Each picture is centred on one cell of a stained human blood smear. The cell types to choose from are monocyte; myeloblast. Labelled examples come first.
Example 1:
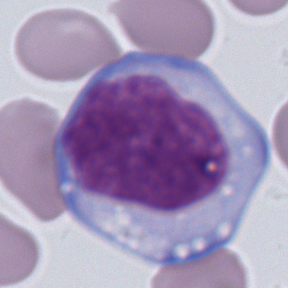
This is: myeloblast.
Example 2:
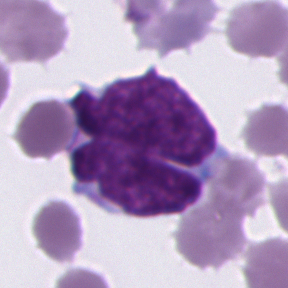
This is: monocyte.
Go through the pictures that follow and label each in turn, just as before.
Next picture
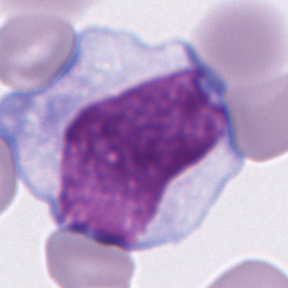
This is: monocyte.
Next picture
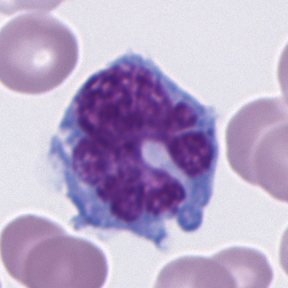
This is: monocyte.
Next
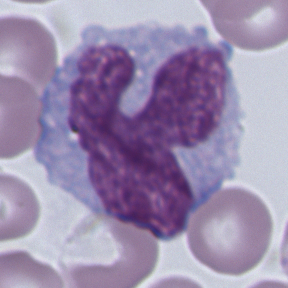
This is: monocyte.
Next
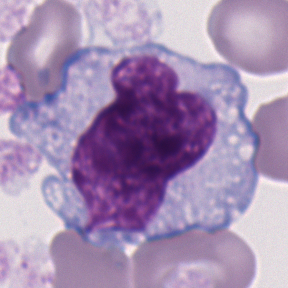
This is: monocyte.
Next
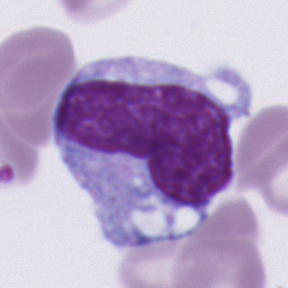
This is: monocyte.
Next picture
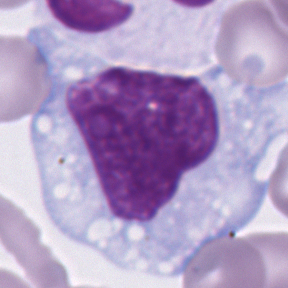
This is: monocyte.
